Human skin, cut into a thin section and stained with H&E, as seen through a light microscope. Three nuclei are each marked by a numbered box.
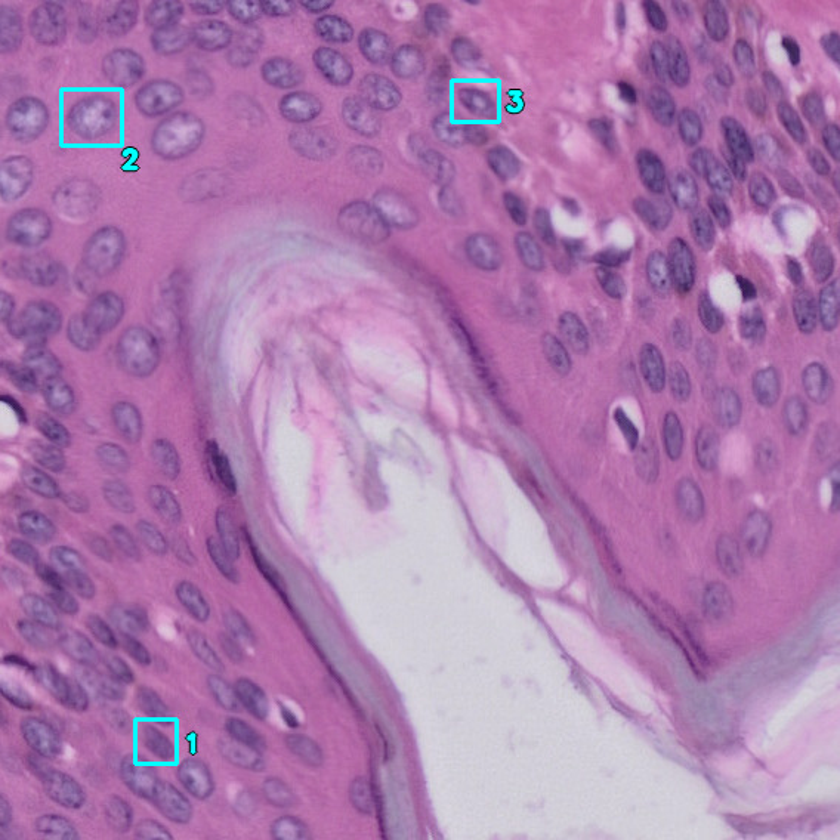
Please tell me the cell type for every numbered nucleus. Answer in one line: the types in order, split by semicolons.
basal keratinocyte; suprabasal keratinocyte; basal keratinocyte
